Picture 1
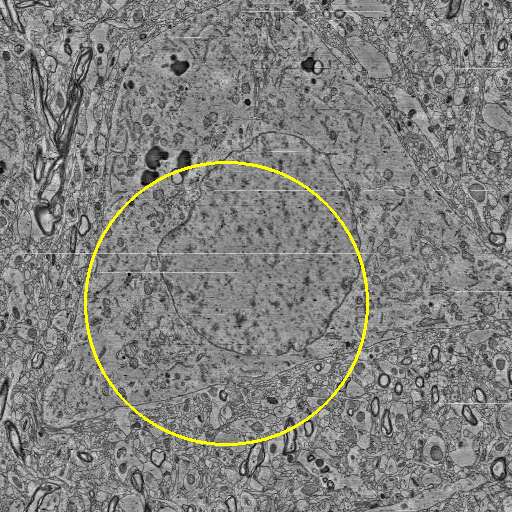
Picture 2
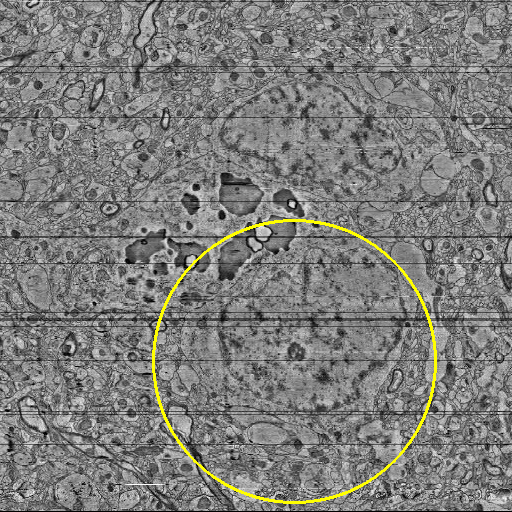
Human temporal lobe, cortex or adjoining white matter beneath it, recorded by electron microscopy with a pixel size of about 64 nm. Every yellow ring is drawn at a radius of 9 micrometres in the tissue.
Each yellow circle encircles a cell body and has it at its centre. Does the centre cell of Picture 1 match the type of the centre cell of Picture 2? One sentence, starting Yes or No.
No, the cell centred in Picture 1 and the one in Picture 2 have separate types.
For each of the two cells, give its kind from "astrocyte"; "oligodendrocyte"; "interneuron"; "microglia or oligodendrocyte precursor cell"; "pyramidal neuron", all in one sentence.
The first picture has a pyramidal neuron in its ring, the second has an interneuron.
